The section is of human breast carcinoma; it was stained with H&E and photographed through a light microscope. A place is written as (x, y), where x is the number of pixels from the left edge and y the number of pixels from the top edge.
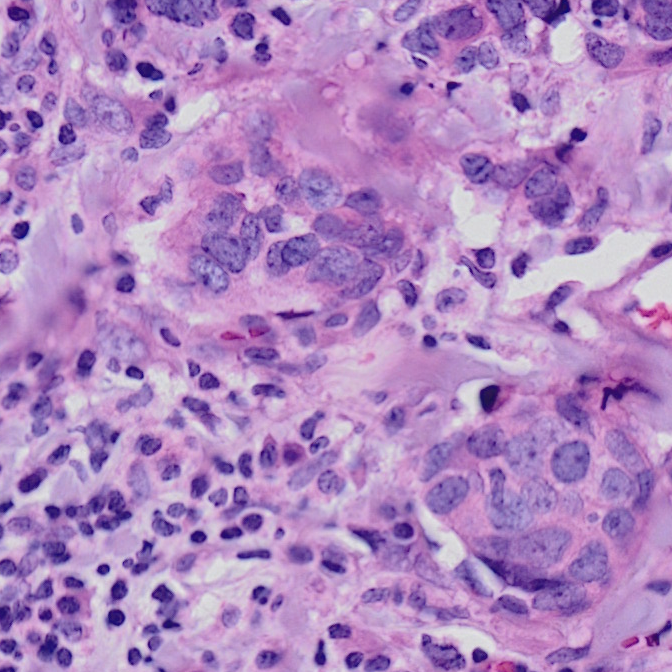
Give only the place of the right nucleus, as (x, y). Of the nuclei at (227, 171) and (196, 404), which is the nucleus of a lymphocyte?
(196, 404)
